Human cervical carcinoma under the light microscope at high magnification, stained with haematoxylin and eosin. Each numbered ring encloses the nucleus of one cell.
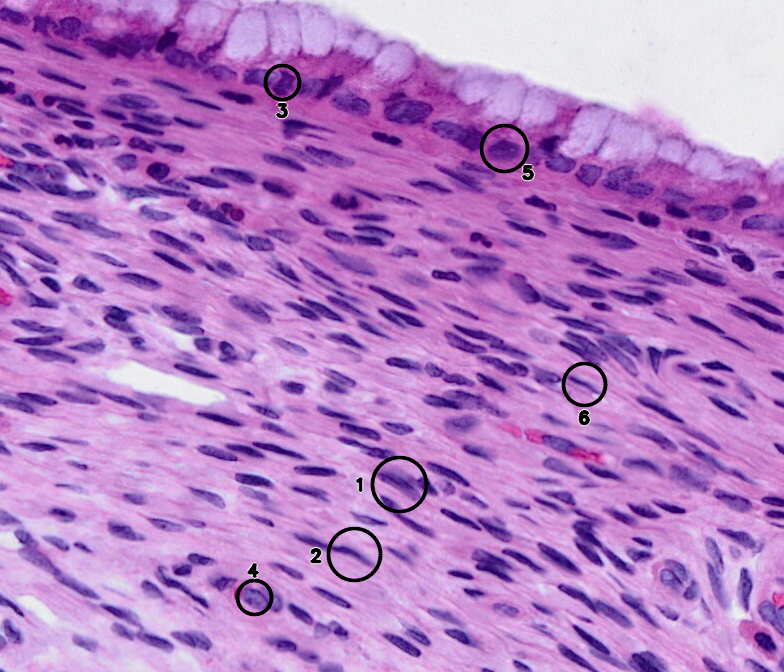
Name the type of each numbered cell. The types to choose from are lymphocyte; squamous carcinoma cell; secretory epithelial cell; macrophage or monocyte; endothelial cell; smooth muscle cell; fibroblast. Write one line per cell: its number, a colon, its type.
1: fibroblast
2: fibroblast
3: secretory epithelial cell
4: endothelial cell
5: secretory epithelial cell
6: fibroblast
